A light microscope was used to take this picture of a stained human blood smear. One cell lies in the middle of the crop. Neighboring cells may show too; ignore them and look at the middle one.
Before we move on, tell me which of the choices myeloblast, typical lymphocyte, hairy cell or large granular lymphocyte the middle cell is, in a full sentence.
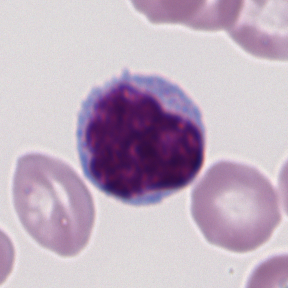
In the center of this field lies a typical lymphocyte.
